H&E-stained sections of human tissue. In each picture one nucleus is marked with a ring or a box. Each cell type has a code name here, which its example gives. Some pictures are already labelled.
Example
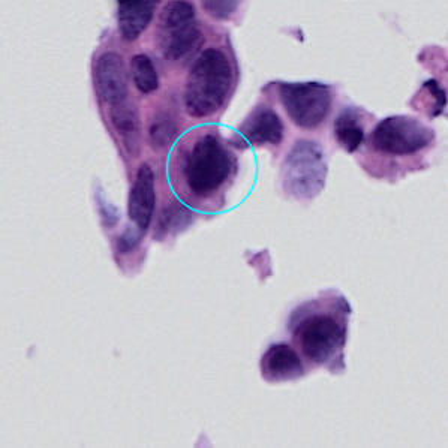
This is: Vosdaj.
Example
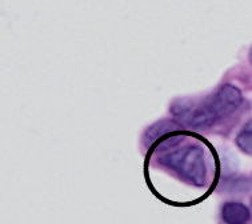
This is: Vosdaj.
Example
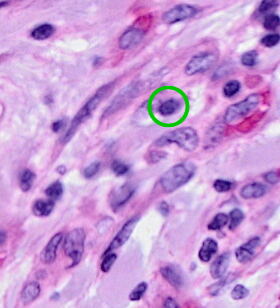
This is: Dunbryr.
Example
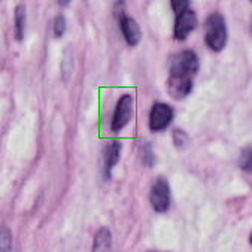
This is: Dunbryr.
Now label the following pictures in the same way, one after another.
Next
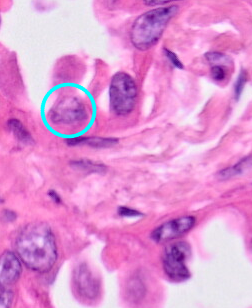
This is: Vosdaj.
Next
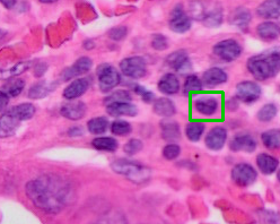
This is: Dunbryr.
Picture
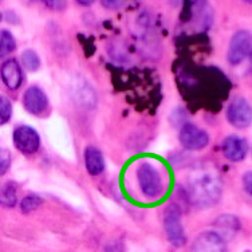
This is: Dunbryr.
